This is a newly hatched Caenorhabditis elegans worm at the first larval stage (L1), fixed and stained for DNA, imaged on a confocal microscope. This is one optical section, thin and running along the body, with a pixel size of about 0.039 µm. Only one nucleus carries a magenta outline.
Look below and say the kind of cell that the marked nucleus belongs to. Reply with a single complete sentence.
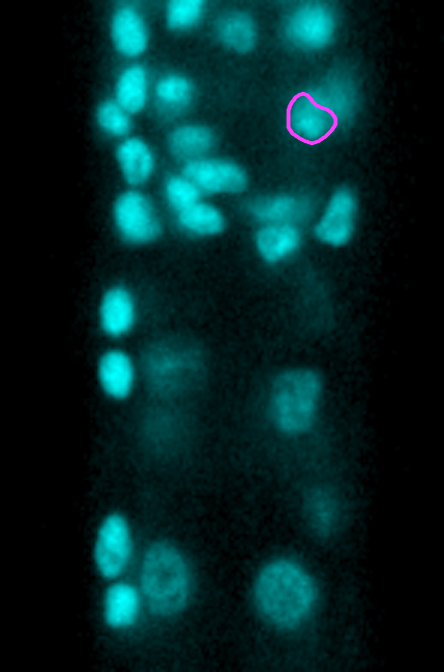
The marked nucleus is that of a neuron.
